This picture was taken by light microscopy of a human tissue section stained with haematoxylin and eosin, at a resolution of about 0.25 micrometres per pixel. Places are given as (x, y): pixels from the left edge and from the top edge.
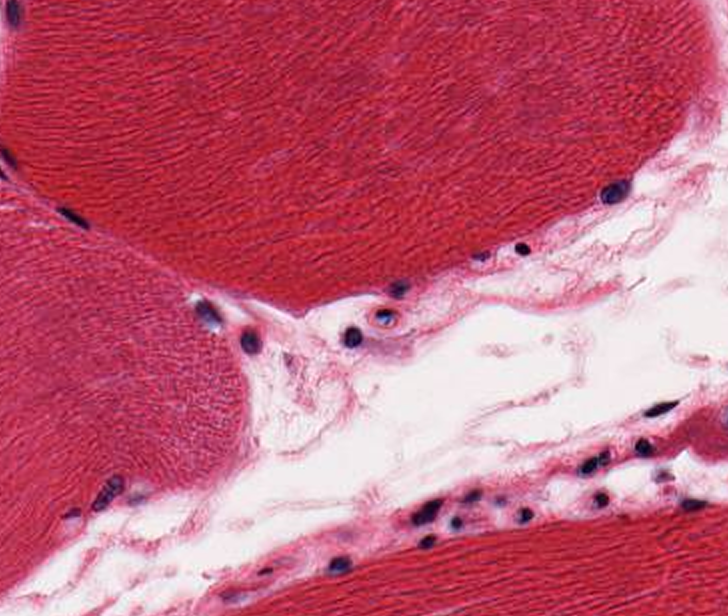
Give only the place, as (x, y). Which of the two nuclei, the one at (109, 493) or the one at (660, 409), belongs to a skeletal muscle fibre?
(109, 493)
